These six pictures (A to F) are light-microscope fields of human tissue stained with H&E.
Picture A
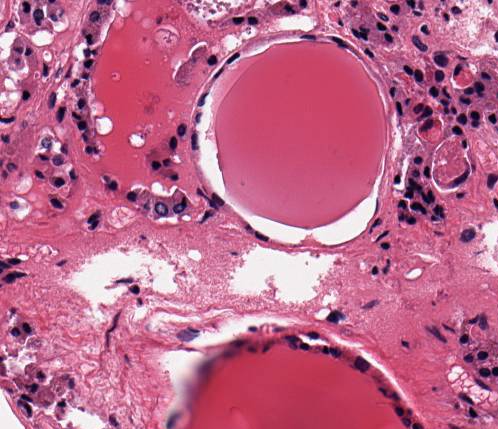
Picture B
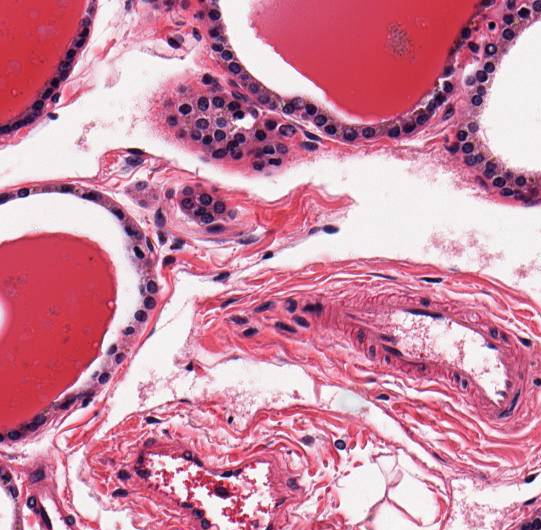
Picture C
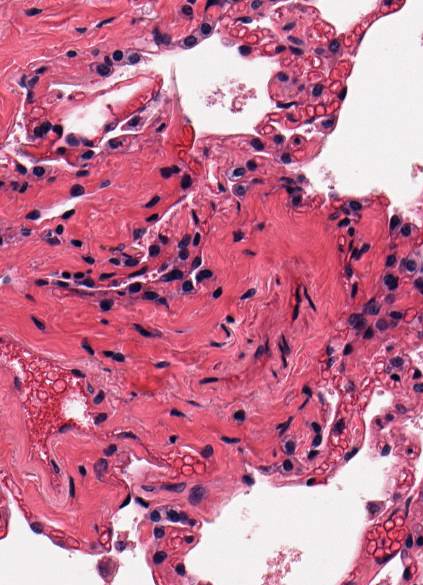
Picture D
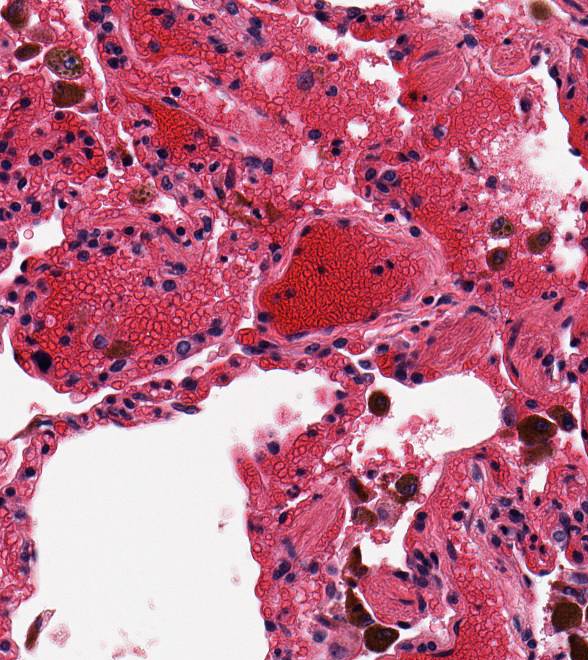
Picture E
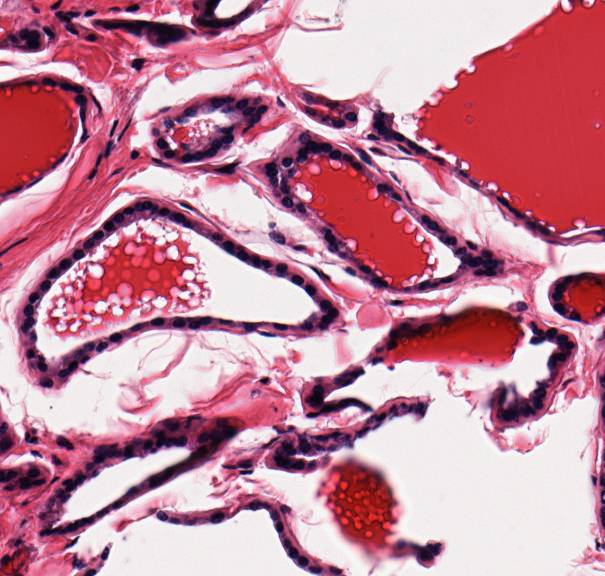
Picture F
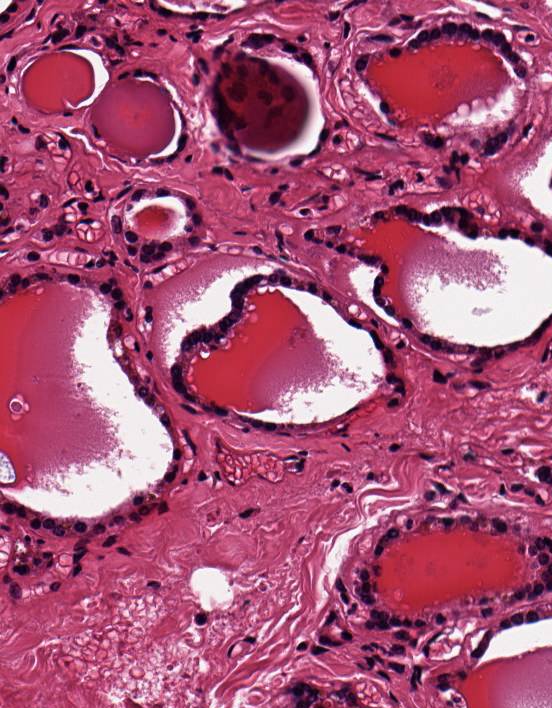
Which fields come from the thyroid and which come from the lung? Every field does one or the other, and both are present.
A: thyroid
B: thyroid
C: lung
D: lung
E: thyroid
F: thyroid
